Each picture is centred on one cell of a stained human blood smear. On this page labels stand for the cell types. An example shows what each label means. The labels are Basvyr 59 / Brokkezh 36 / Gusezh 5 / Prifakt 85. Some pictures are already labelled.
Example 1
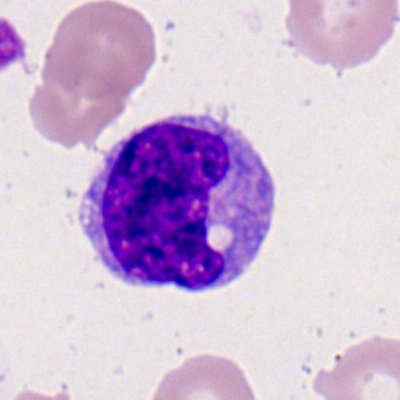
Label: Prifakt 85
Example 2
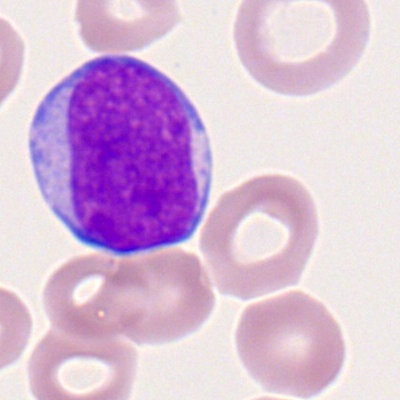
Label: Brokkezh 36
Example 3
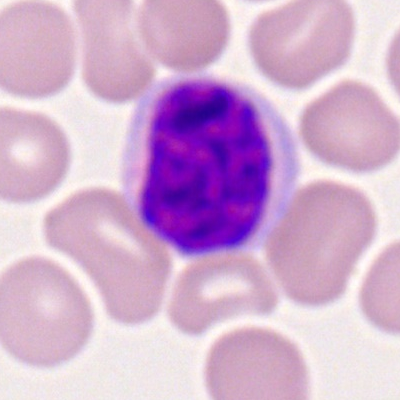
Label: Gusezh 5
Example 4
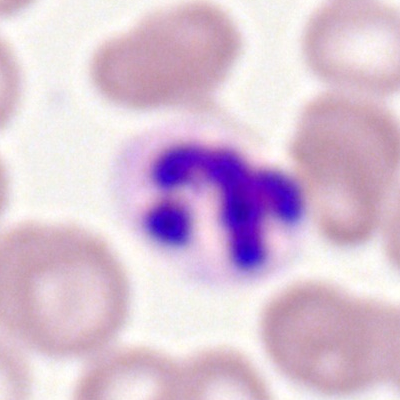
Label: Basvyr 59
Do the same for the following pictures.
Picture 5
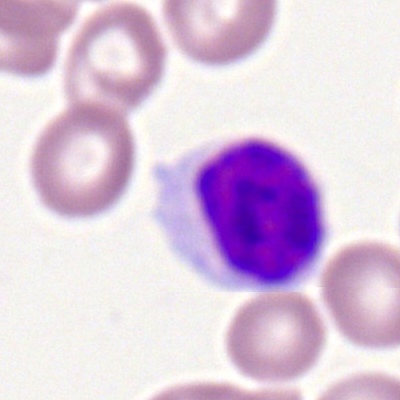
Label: Gusezh 5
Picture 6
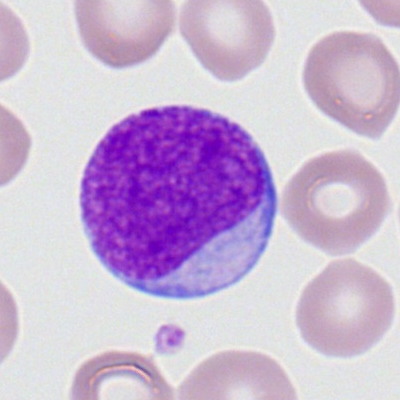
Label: Brokkezh 36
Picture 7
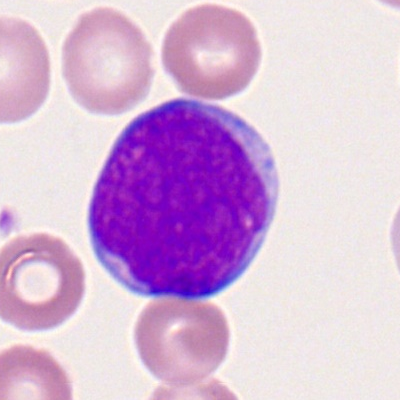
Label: Brokkezh 36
